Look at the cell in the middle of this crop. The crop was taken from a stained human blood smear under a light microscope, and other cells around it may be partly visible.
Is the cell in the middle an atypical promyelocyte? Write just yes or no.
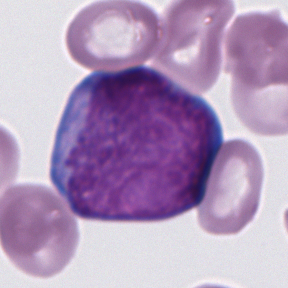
no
